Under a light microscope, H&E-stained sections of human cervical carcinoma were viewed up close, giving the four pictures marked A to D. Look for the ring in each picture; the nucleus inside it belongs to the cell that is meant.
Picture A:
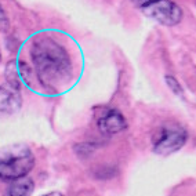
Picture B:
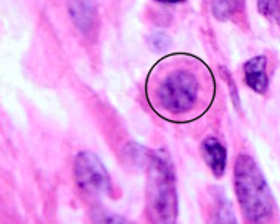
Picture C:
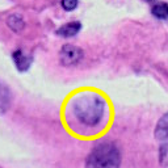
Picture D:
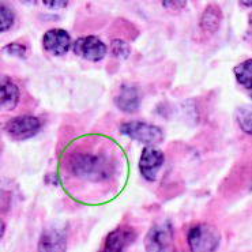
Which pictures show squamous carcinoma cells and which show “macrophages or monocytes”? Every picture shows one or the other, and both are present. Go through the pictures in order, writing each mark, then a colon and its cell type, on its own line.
A: squamous carcinoma cell
B: macrophage or monocyte
C: squamous carcinoma cell
D: macrophage or monocyte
